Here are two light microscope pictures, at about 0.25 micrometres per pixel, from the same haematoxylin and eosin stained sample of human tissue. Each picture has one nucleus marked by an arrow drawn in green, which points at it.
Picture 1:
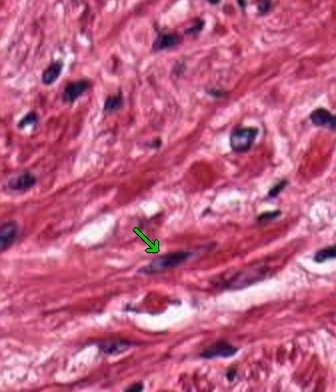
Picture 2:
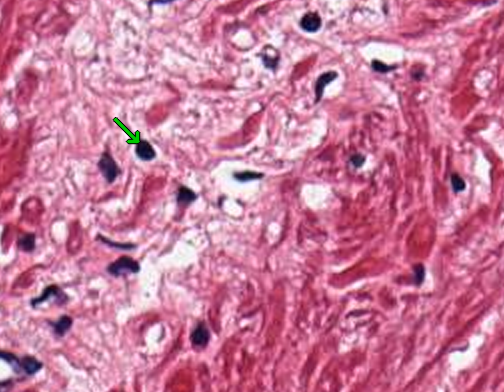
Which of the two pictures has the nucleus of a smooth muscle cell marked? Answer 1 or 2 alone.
1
